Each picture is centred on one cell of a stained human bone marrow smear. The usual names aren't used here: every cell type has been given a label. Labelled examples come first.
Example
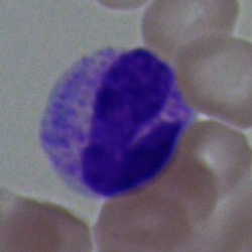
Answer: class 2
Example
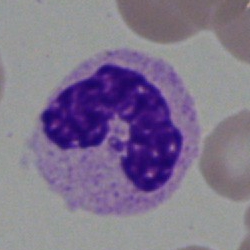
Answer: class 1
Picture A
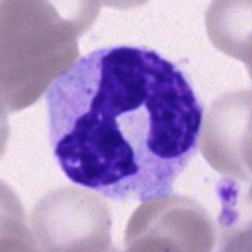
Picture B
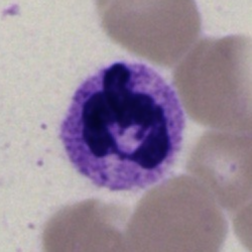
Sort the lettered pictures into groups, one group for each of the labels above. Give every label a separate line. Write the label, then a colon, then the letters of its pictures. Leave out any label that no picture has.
class 1: A, B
